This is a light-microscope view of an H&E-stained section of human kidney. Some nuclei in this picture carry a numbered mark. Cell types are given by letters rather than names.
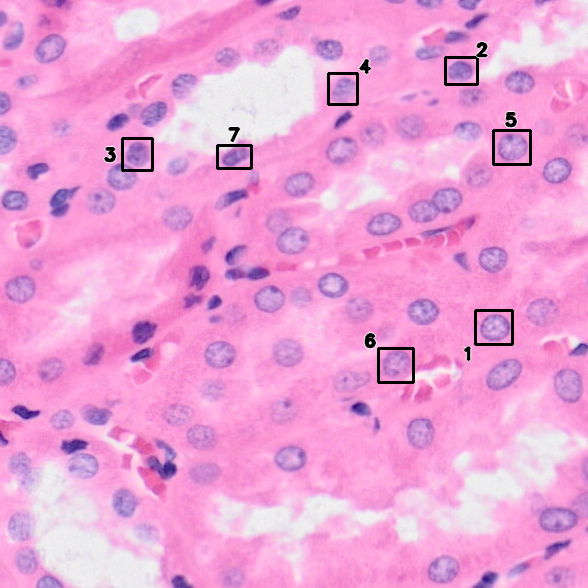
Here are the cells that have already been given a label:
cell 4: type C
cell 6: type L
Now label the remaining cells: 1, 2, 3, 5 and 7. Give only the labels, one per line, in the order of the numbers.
type L
type C
type C
type L
type C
